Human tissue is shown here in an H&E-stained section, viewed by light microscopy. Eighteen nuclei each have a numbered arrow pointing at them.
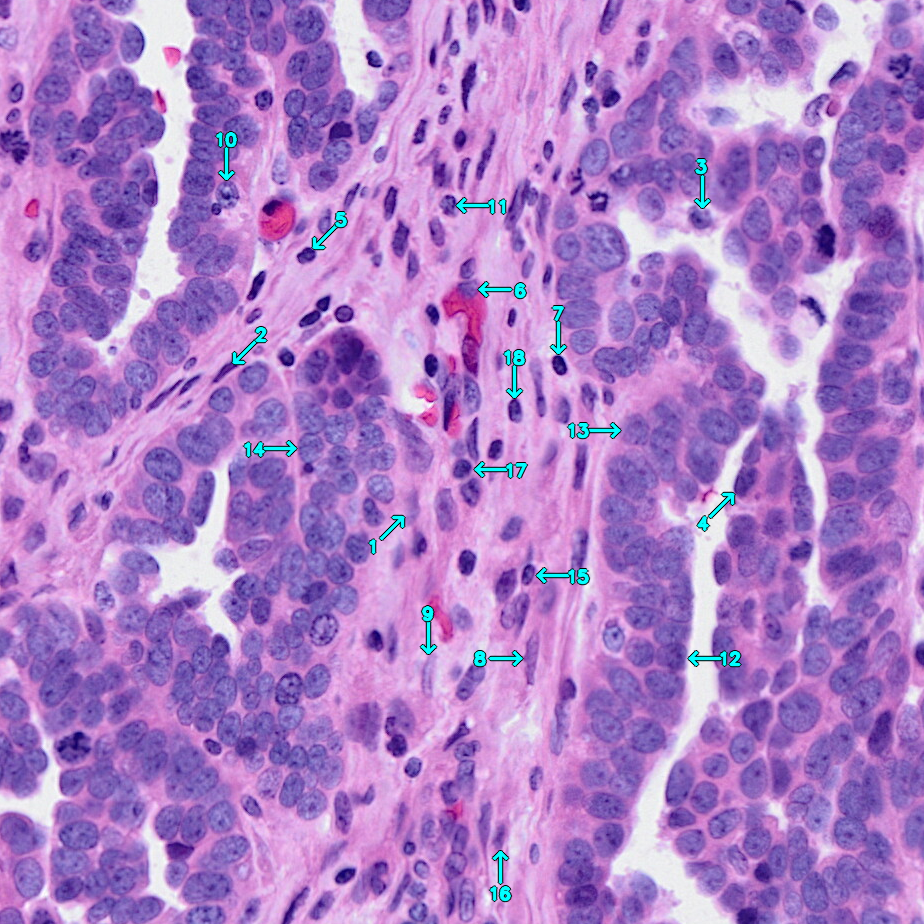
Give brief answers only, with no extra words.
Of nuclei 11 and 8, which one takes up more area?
8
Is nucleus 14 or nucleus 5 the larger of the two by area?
14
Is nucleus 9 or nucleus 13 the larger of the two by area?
13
